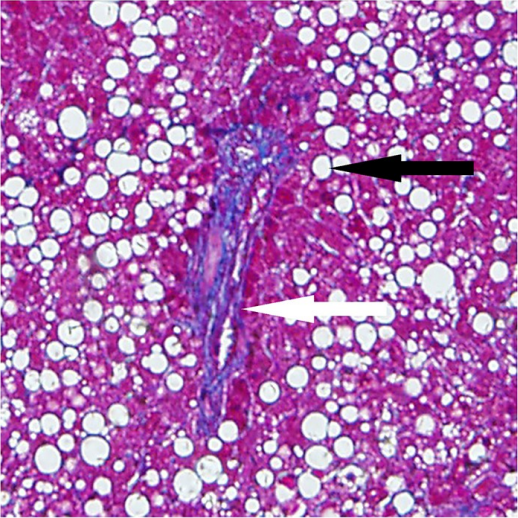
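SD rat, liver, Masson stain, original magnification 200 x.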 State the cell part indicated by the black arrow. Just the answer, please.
Fat vacuole.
